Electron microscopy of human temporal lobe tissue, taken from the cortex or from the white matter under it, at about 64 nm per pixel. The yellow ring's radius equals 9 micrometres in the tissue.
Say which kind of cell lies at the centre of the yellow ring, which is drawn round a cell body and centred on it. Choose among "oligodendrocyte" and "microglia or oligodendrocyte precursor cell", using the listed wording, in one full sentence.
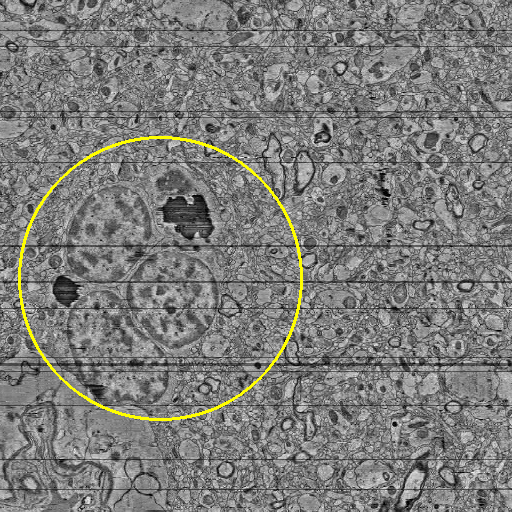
Going by the list, the cell at the yellow ring's centre is an oligodendrocyte.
